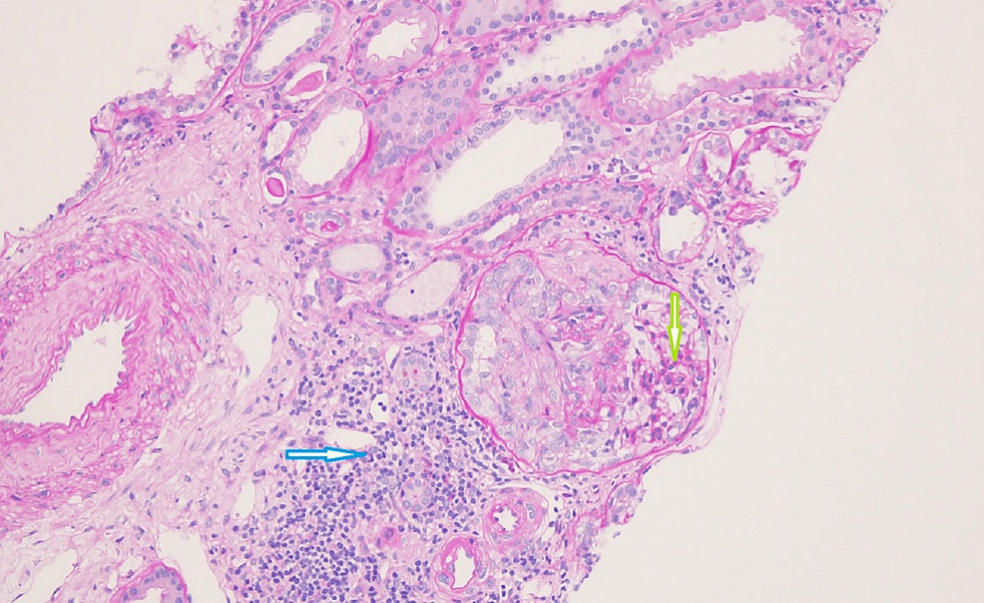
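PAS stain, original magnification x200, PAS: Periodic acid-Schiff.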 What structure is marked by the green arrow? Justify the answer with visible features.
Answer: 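The arrow points into the capillary loops at the right edge of a round structure enclosed by a magenta capsule. That part of the structure is pushed to one side by paler layered tissue.
Tuft.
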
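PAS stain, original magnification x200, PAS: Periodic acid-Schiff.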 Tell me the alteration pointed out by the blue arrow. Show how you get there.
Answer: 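Focal interstitial lymphocytic infiltrate. A dense cluster of small round cells with dark nuclei lies between the tubules. The cluster sits in the interstitium below and left of the glomerulus.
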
